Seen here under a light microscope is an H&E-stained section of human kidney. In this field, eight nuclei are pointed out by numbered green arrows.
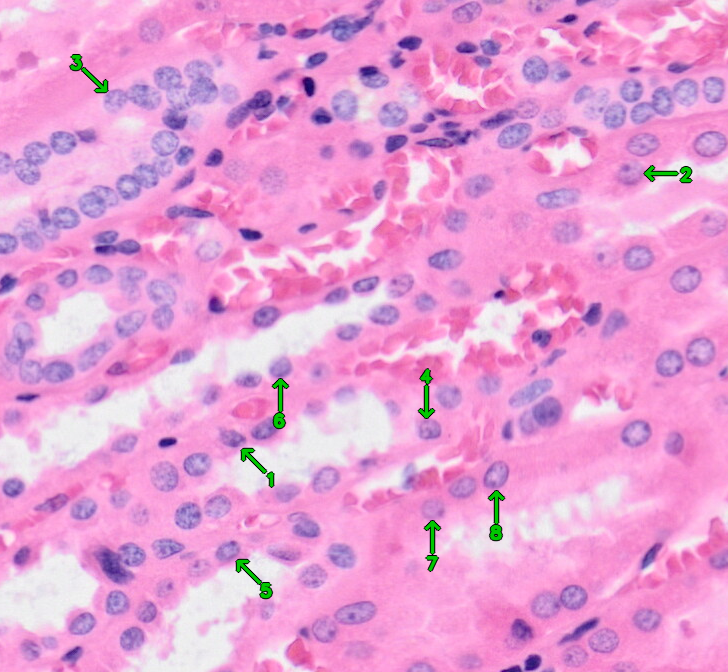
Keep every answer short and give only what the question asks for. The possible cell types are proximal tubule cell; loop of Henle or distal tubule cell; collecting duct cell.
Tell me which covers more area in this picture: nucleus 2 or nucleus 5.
2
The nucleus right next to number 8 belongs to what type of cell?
proximal tubule cell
